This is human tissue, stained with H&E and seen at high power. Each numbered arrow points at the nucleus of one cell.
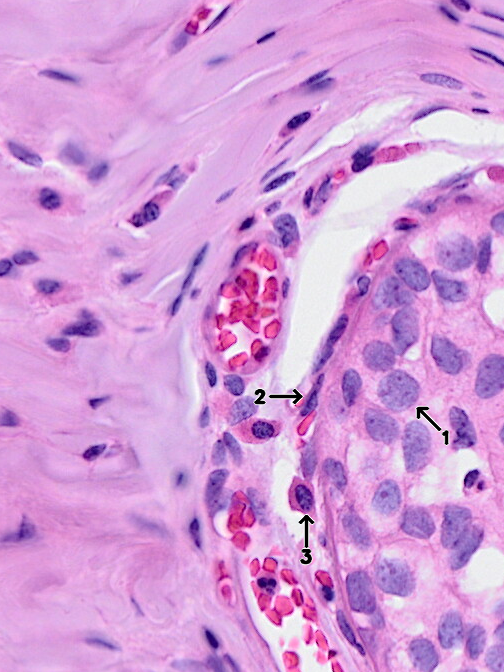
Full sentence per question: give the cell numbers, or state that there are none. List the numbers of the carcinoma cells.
Of the marked cells, the one numbered 1 is a carcinoma cell and the rest are not.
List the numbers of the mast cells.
Of the cells carrying numbers, just cell 3 is a mast cell.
